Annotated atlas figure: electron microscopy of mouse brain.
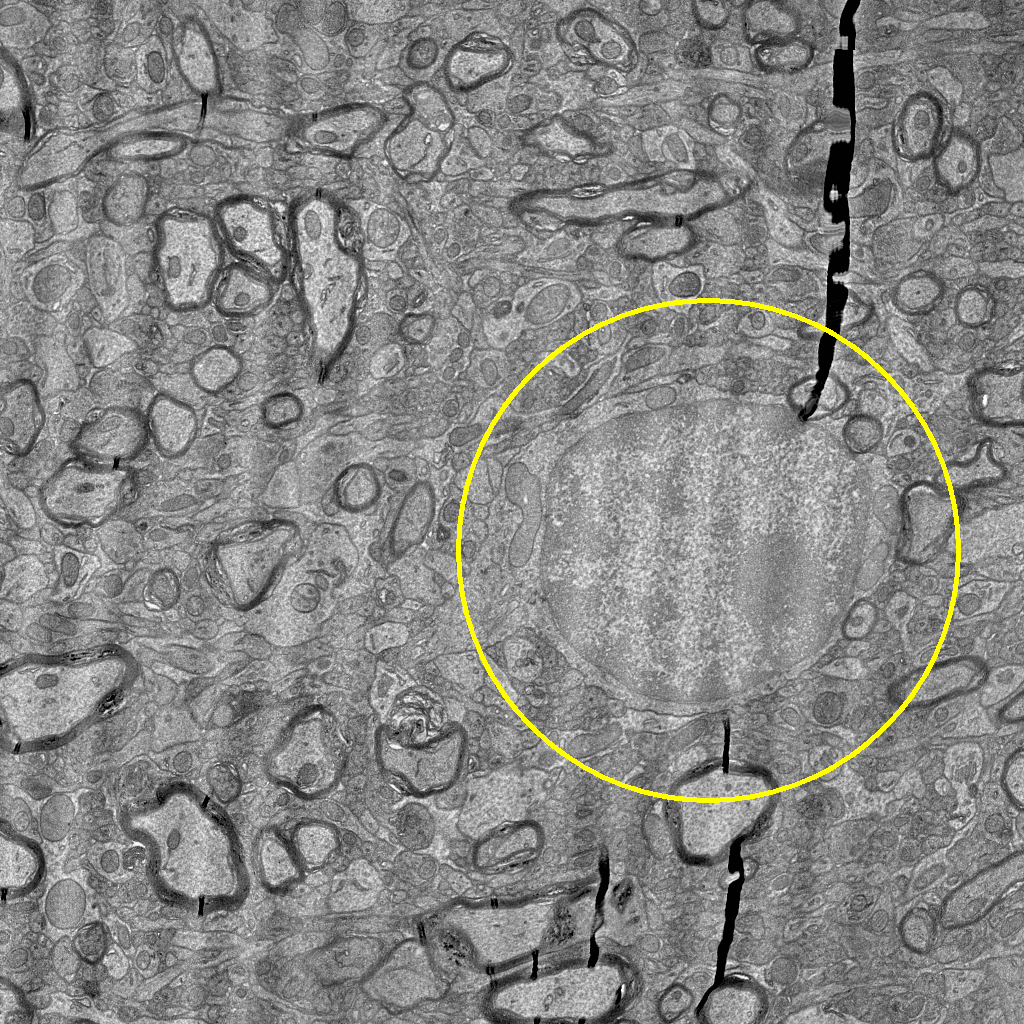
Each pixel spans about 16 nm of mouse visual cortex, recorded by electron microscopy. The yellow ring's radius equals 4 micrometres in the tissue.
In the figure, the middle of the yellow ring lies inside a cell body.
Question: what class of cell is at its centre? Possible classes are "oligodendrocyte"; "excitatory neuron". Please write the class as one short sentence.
The yellow ring's centre lies in an oligodendrocyte.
